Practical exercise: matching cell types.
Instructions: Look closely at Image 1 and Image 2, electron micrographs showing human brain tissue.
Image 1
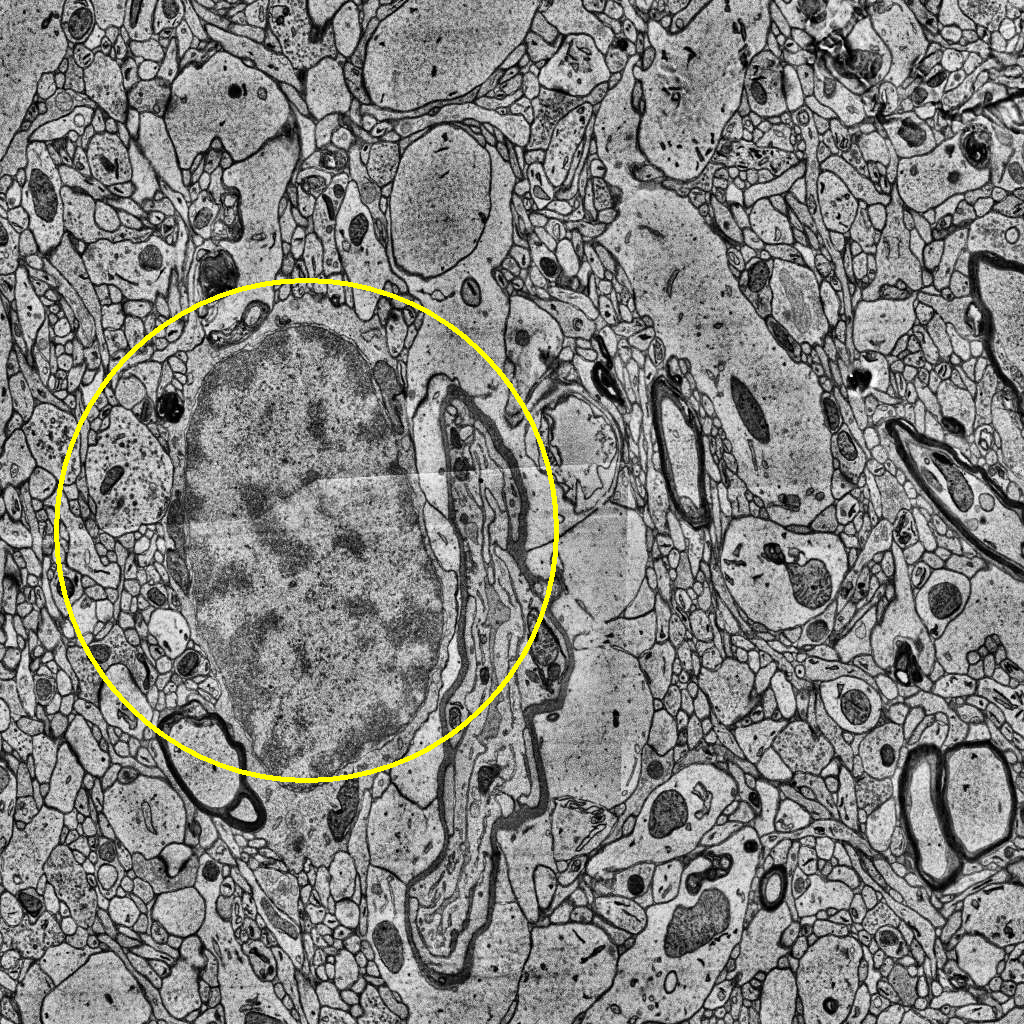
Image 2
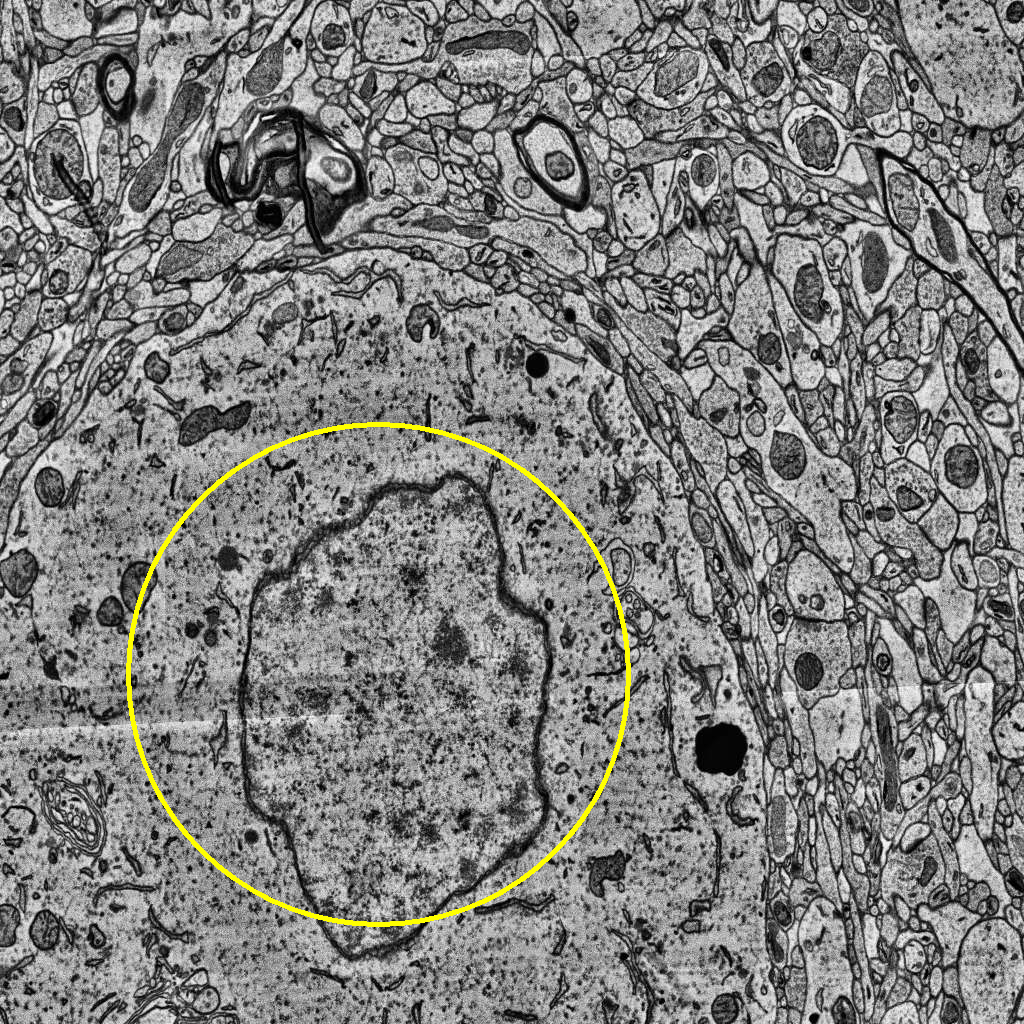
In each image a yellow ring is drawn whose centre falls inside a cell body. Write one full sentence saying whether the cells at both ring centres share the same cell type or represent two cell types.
Across Image 1 and Image 2, the cells at the ring centres represent two cell types.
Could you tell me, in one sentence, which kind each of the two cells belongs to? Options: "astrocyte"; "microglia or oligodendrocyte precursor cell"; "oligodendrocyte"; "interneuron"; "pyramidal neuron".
The ring in the first picture surrounds an oligodendrocyte, and the ring in the second surrounds a pyramidal neuron.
